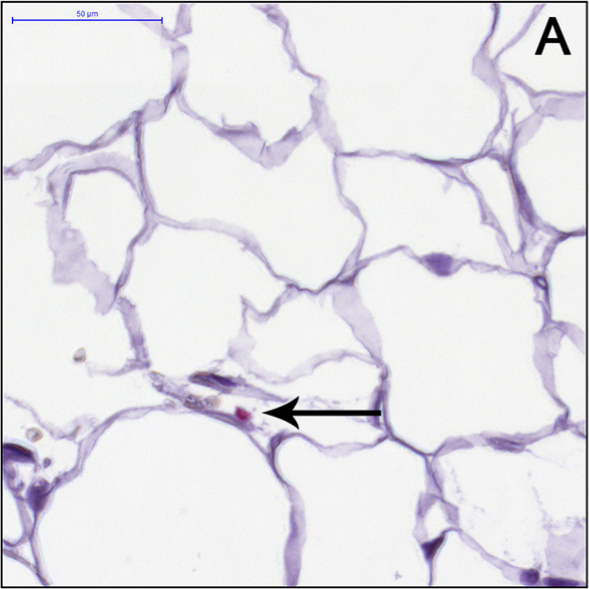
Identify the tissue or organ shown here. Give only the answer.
Adipose tissue.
